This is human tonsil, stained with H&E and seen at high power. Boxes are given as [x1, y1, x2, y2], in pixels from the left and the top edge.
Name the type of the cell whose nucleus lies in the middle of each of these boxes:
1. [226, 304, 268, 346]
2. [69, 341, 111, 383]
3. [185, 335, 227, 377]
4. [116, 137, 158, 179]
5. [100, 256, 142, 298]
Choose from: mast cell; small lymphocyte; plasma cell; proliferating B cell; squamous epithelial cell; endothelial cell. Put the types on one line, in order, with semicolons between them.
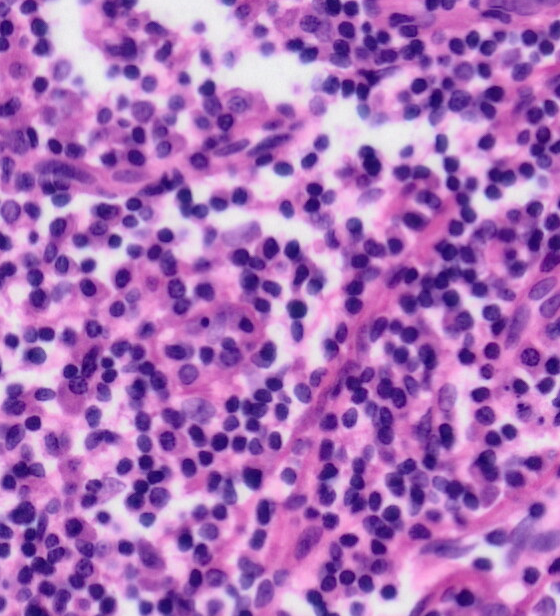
endothelial cell; plasma cell; endothelial cell; plasma cell; plasma cell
